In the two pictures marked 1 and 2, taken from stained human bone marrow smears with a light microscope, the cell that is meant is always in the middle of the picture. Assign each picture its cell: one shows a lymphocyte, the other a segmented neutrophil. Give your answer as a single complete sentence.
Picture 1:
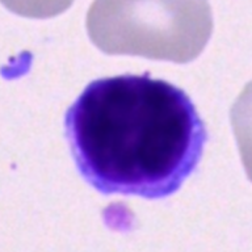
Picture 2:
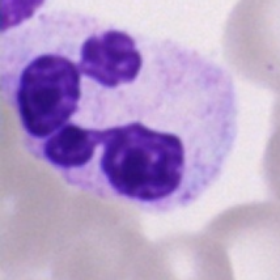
In picture 1 the cell is a lymphocyte; in picture 2, a segmented neutrophil.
